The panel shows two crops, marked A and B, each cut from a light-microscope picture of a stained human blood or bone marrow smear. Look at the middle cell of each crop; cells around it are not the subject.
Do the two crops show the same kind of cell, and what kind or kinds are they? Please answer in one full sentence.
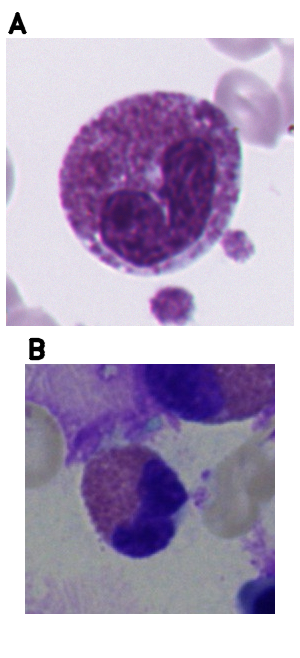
Yes, the middle cells in the two crops are eosinophils.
